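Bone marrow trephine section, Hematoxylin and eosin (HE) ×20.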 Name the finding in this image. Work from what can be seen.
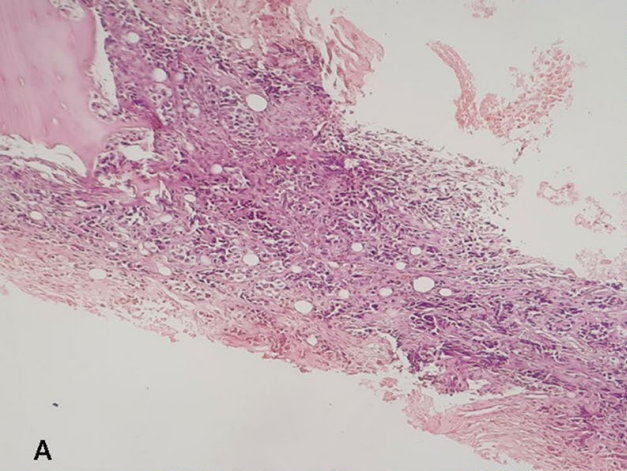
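Marrow space between bone trabeculae is filled by sheets and clusters of cells. Pink fibrous tissue surrounds the cell clusters. Scattered round fat spaces lie among the infiltrate.
Hence: diffuse infiltration with nests and islands of carcinomatous-like cells.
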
